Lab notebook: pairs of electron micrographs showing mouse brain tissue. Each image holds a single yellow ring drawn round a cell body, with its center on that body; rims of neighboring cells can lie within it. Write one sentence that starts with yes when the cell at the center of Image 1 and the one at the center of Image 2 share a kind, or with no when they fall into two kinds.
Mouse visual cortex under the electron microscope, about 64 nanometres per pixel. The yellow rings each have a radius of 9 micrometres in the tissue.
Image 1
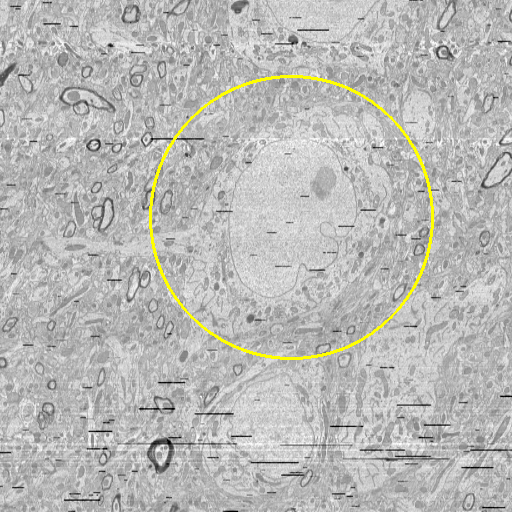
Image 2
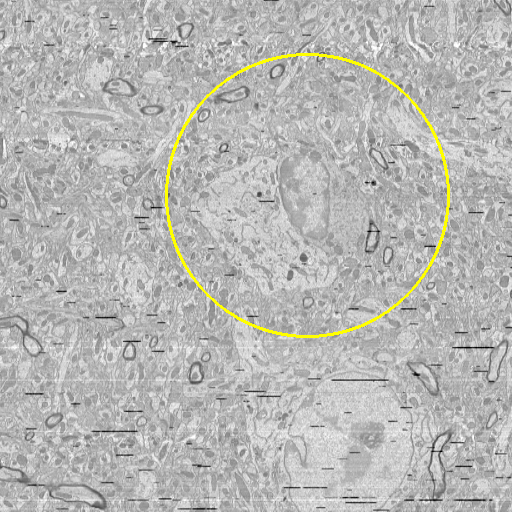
No, the centered cell in Image 1 and the centered cell in Image 2 are of two kinds.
